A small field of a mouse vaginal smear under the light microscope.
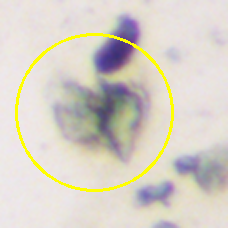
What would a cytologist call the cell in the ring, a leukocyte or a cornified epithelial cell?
A cytologist would call it a cornified epithelial cell.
